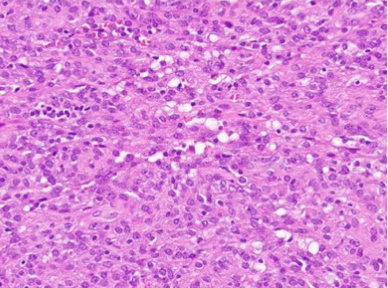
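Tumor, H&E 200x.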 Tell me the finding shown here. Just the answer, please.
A: uniform, round to polygonal cells with clear to eosinophilic cytoplasm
